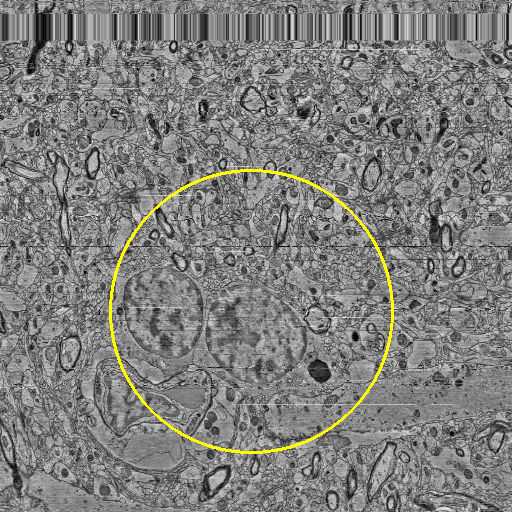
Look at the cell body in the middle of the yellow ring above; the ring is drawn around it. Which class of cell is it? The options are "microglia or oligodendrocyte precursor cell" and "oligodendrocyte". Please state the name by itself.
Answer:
oligodendrocyte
